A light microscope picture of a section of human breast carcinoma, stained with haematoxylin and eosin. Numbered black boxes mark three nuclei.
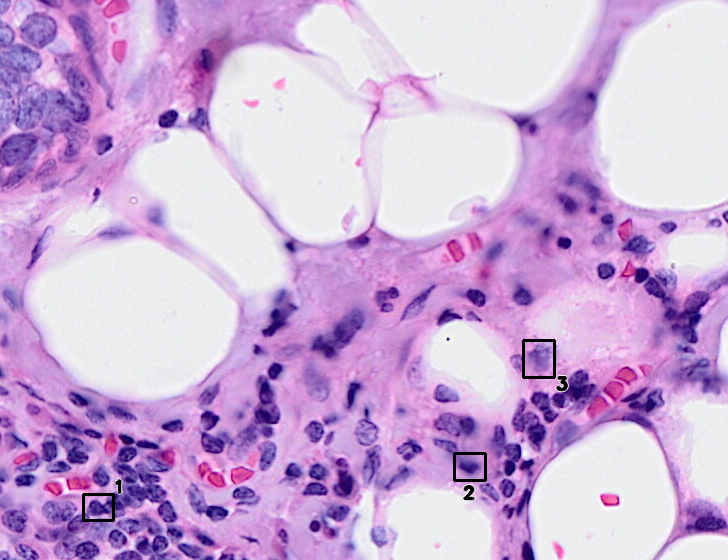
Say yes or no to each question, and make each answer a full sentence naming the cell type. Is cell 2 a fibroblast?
No, number 2 corresponds to a lymphocyte, not a fibroblast.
